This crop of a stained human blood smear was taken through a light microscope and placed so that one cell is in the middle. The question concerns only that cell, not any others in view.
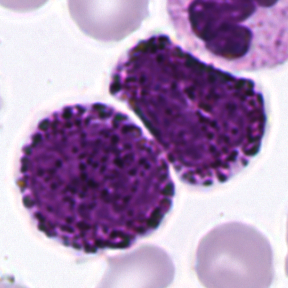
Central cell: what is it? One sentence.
The cell at the heart of this crop is a basophil.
